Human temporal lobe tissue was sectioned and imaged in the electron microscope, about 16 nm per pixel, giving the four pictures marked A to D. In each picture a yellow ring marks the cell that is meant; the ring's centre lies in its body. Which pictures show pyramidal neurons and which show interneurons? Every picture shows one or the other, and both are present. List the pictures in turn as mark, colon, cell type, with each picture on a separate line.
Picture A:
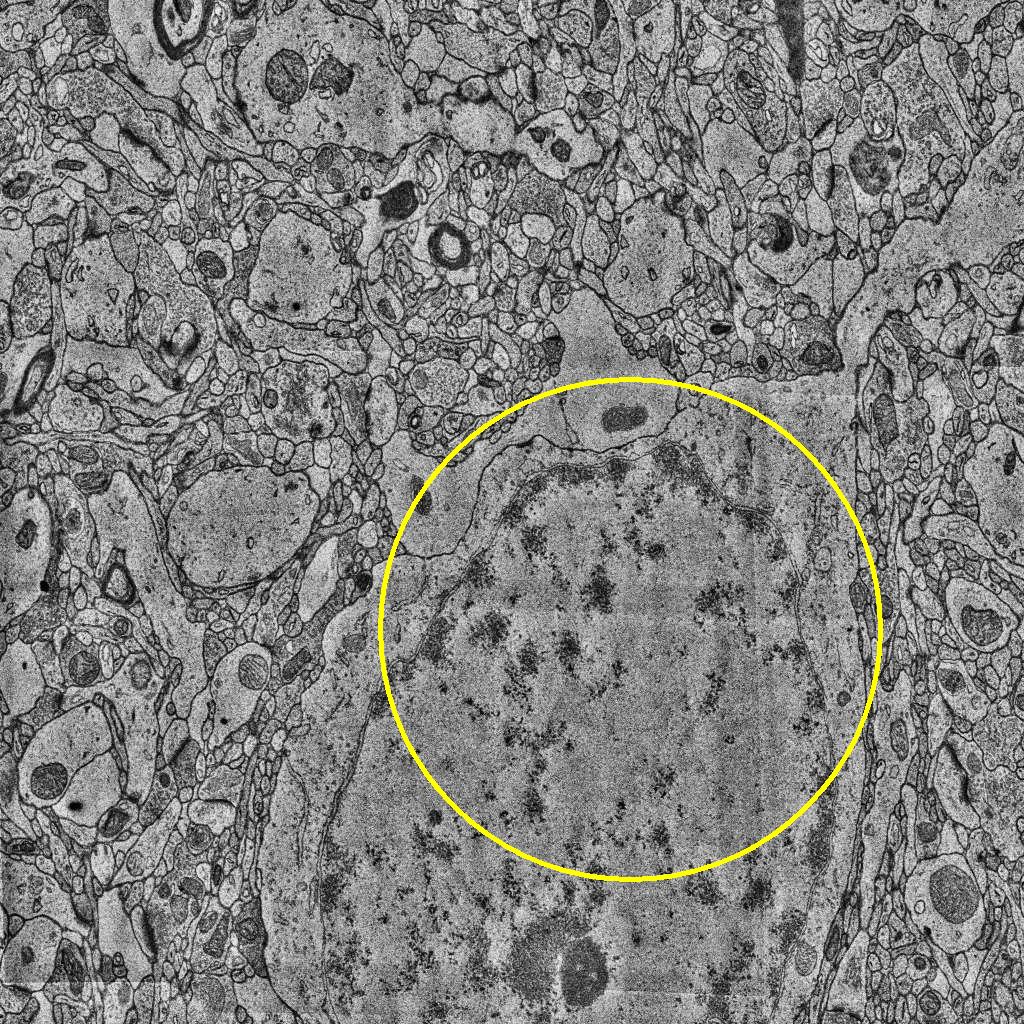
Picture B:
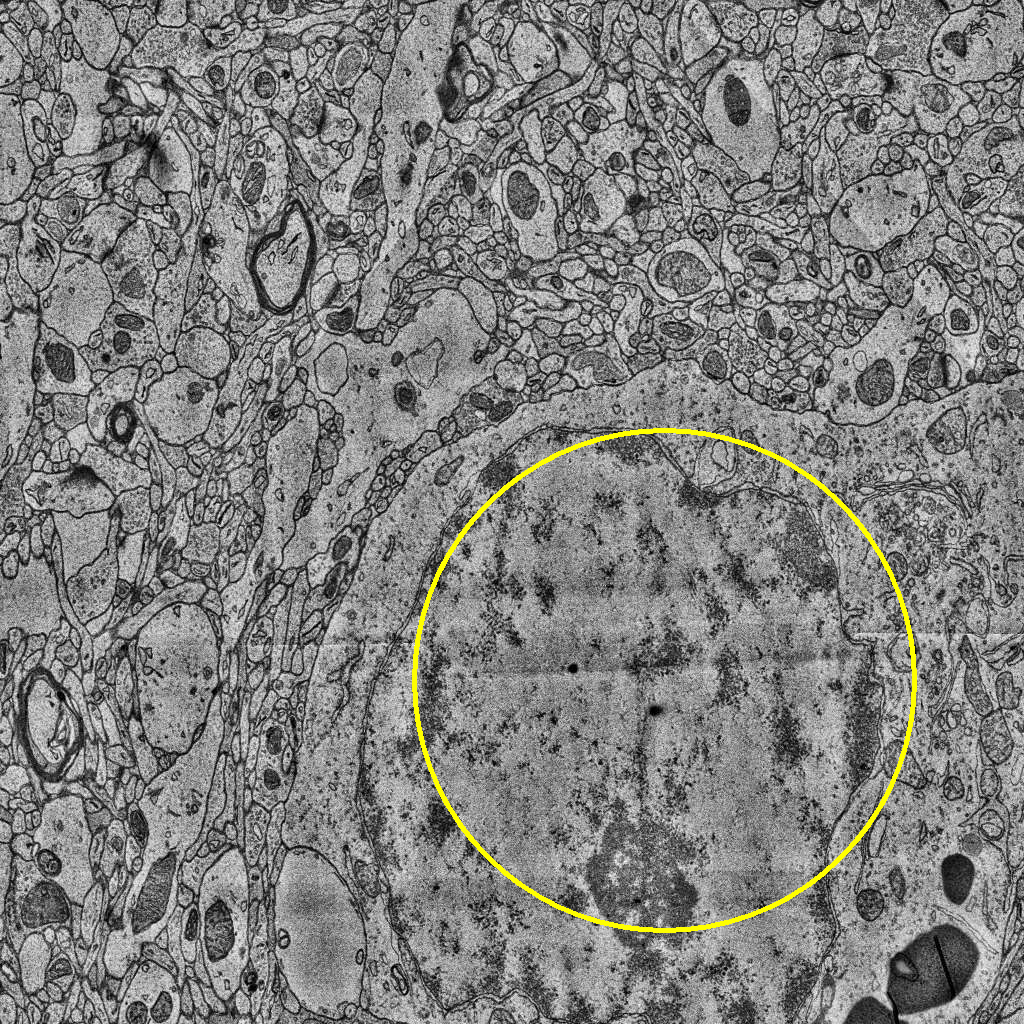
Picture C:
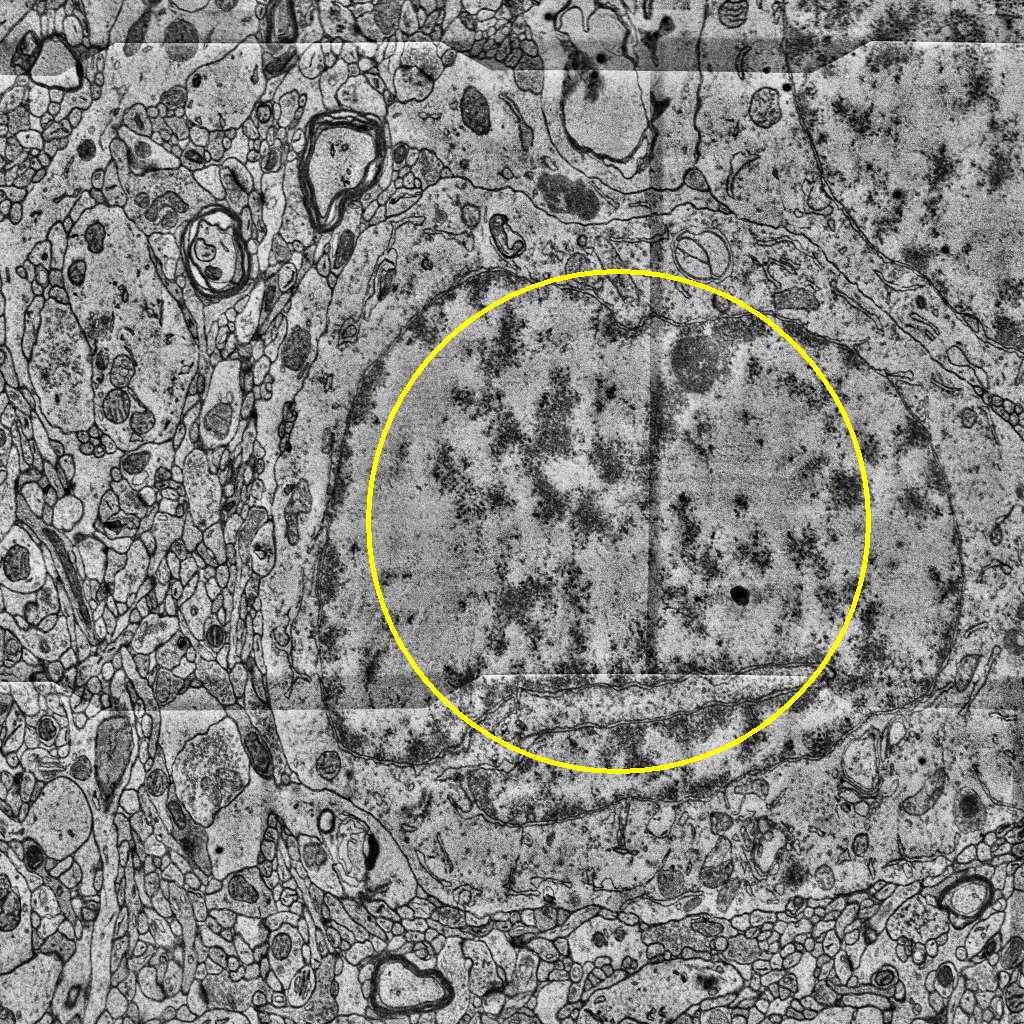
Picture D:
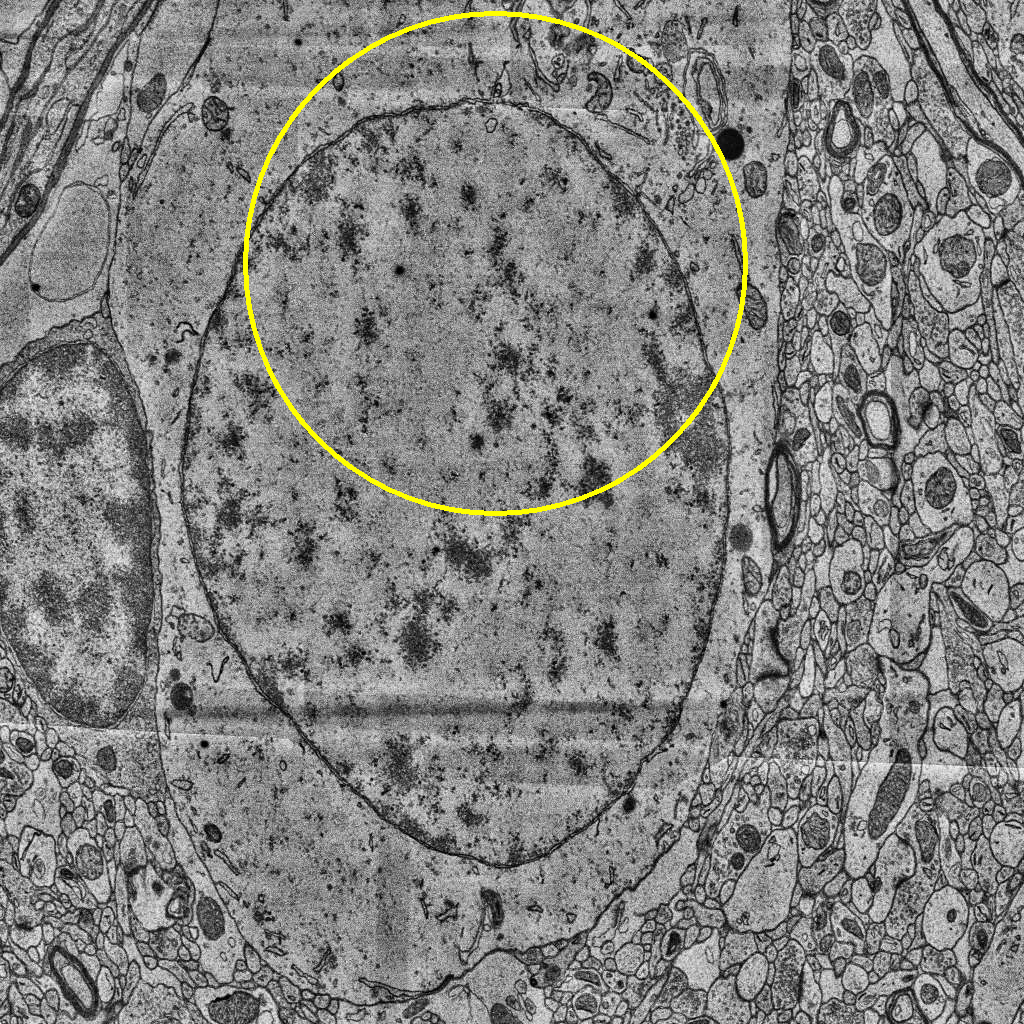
A: interneuron
B: interneuron
C: interneuron
D: pyramidal neuron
